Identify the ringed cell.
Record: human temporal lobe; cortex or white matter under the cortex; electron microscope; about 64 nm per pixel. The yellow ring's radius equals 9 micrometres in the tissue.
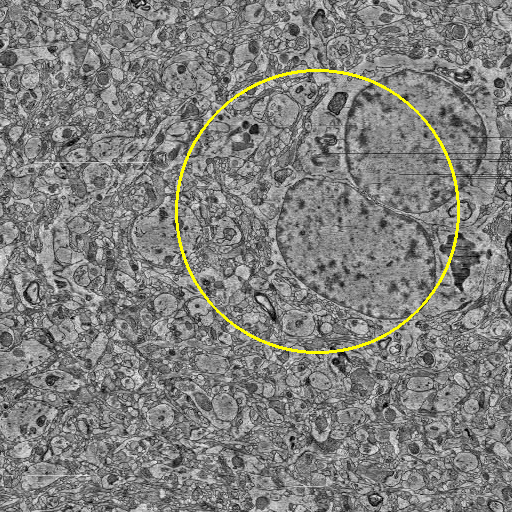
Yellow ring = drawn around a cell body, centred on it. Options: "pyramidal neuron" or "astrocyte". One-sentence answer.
What the ring is centred on is an astrocyte.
